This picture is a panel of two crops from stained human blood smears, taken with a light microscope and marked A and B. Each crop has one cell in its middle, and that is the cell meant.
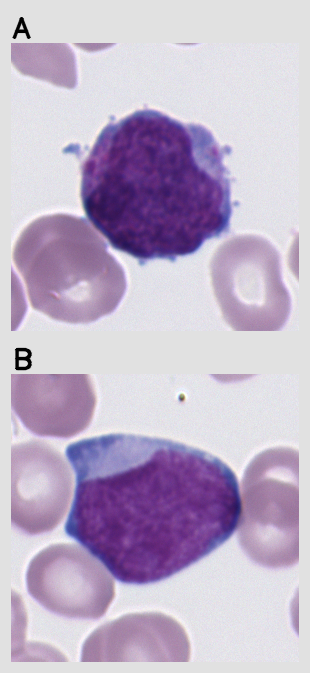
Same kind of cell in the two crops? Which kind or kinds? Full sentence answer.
No, the cell of interest in crop A is an atypical promyelocyte, and in crop B it is a myeloblast.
